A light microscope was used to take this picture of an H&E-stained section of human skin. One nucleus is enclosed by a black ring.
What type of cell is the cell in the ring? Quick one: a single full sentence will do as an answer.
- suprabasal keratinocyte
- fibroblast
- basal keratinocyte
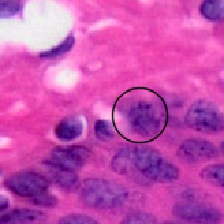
With respect to cell type, the cell in the ring is a basal keratinocyte.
